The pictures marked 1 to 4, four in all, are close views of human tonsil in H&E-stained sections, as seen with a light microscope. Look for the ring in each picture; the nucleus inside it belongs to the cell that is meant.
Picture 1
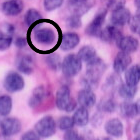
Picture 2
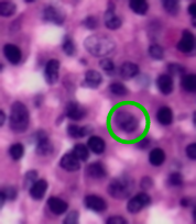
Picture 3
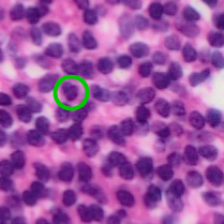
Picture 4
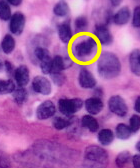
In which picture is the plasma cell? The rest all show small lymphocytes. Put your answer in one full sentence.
It is picture 2 that shows the plasma cell.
